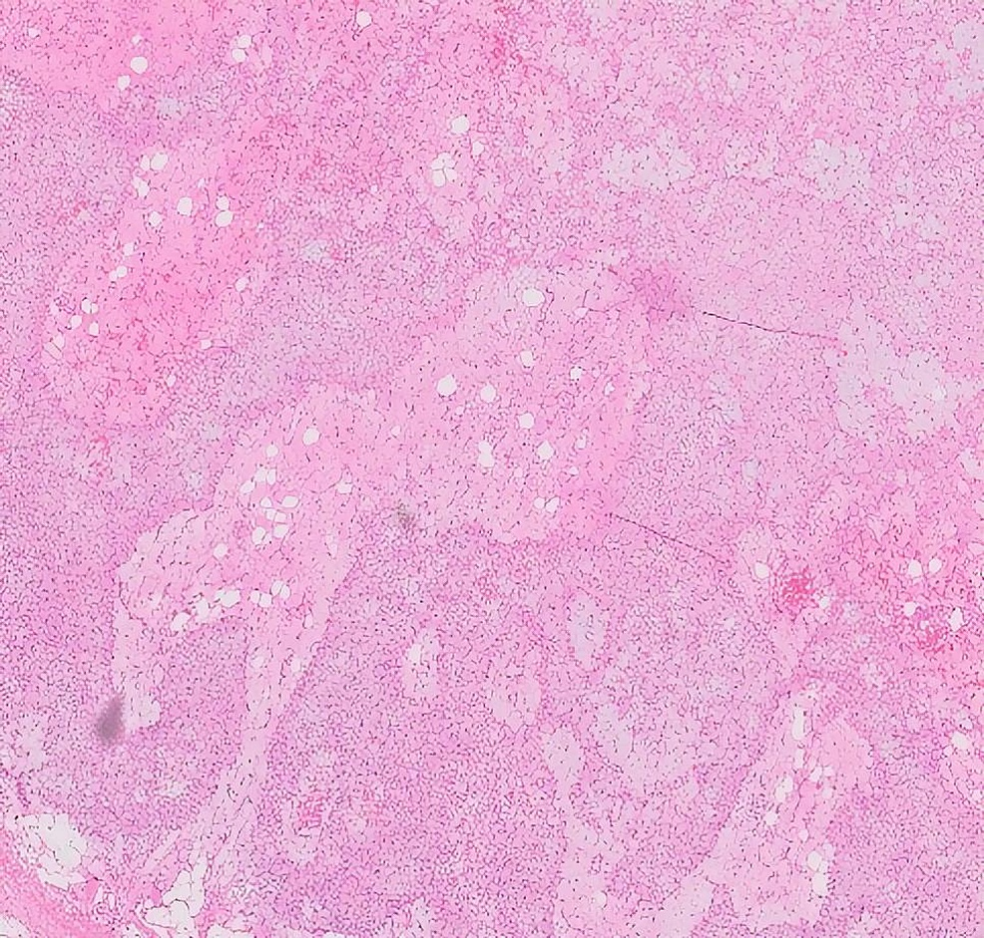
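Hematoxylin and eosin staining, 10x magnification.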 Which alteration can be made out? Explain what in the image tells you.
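The tissue is divided into rounded and irregular compartments. Paler, looser bands run between the denser pink compartments. So: a lobular architecture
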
